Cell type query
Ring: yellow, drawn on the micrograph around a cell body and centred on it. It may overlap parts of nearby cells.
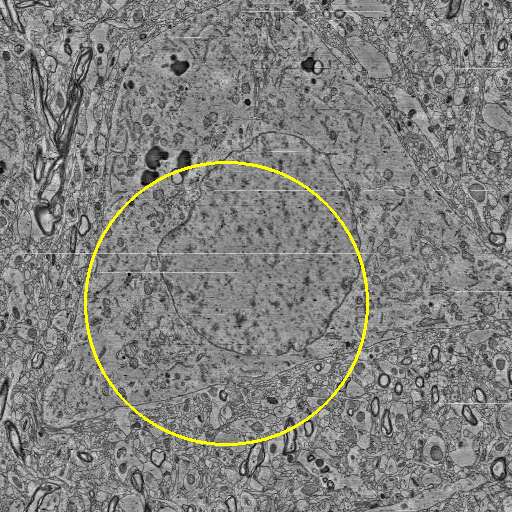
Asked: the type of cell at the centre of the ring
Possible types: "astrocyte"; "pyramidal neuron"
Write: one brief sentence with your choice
The ring marks a pyramidal neuron.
